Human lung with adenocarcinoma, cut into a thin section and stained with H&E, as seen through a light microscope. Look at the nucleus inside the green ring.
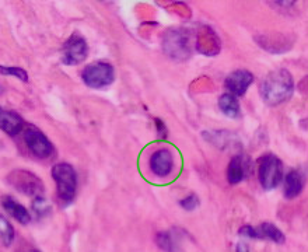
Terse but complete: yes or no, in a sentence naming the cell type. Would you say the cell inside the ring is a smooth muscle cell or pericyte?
No, the cell inside the ring is described as a mast cell and not as a smooth muscle cell or pericyte.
